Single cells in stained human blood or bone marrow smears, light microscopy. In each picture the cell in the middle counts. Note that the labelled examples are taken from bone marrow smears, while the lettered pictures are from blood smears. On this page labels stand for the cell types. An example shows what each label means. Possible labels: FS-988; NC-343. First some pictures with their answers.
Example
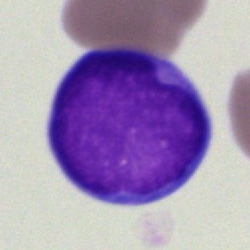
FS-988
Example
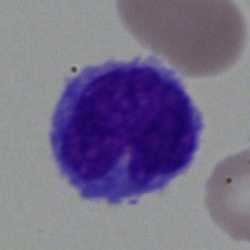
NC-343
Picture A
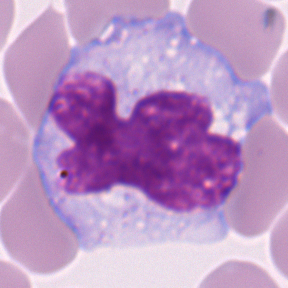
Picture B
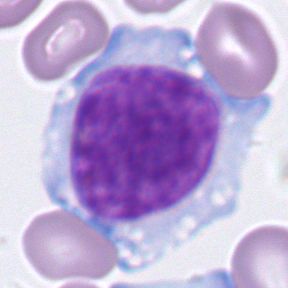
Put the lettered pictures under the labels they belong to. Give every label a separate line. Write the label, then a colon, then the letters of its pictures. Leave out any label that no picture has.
FS-988: B
NC-343: A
